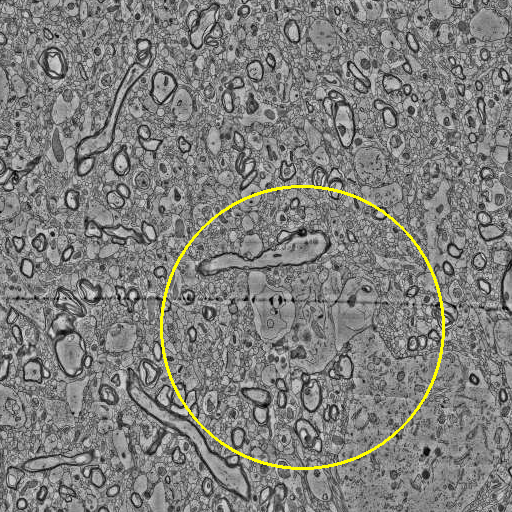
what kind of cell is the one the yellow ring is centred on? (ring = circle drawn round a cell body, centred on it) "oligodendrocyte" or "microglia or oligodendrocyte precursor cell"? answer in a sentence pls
The ring is drawn around a microglial cell or oligodendrocyte precursor cell.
